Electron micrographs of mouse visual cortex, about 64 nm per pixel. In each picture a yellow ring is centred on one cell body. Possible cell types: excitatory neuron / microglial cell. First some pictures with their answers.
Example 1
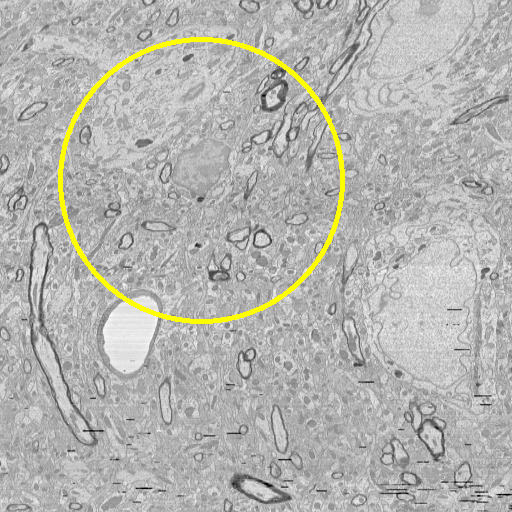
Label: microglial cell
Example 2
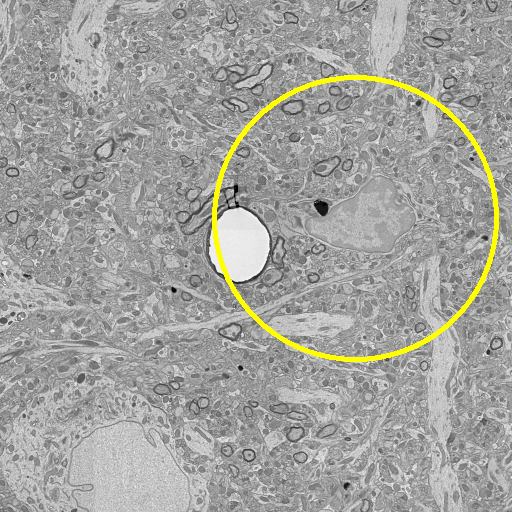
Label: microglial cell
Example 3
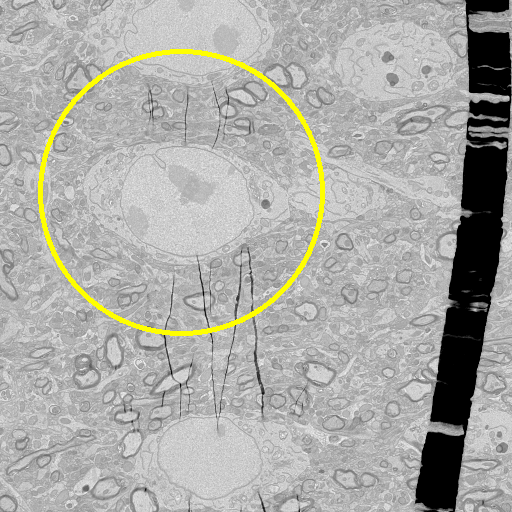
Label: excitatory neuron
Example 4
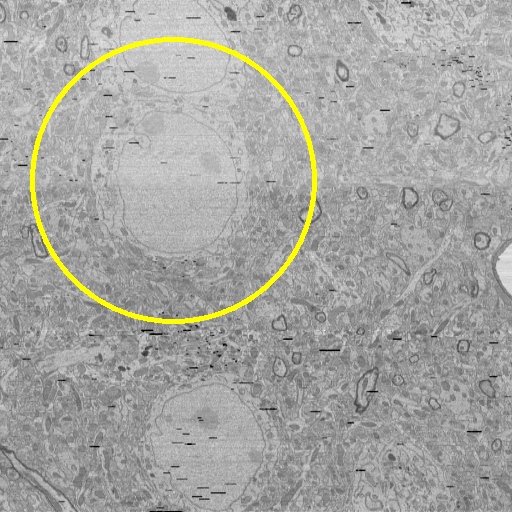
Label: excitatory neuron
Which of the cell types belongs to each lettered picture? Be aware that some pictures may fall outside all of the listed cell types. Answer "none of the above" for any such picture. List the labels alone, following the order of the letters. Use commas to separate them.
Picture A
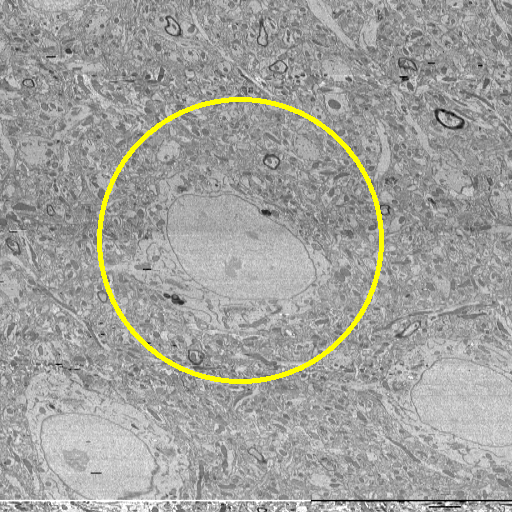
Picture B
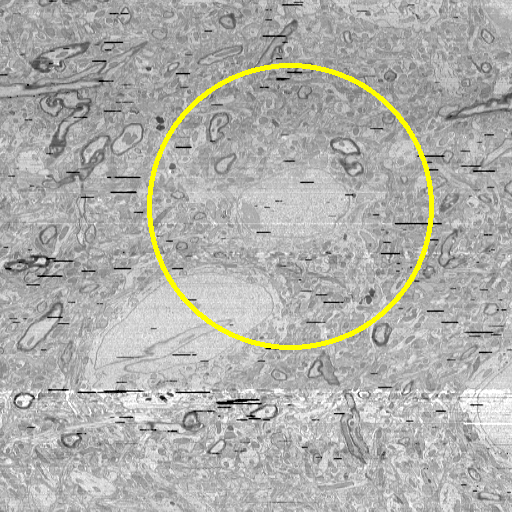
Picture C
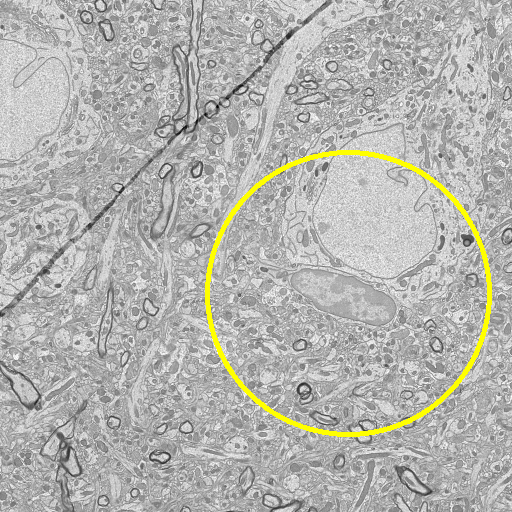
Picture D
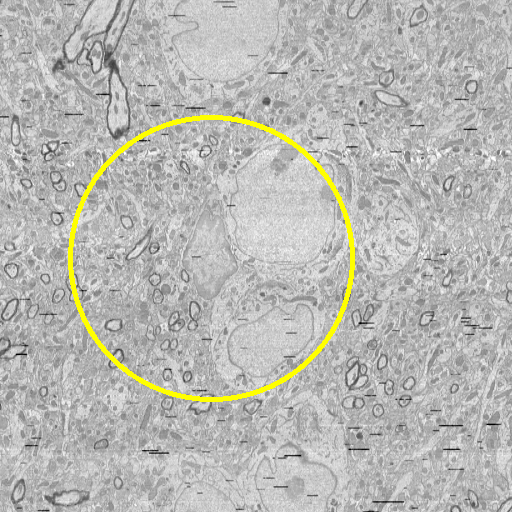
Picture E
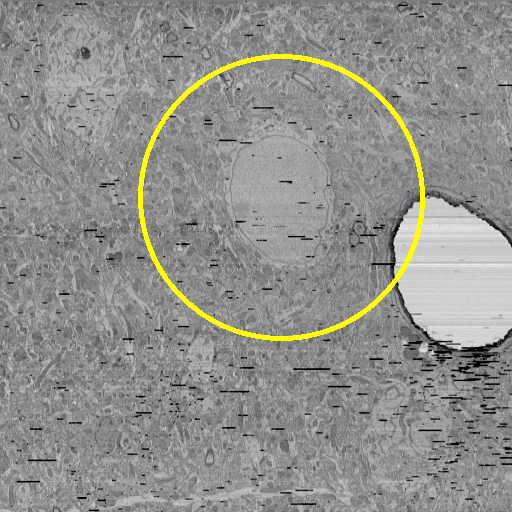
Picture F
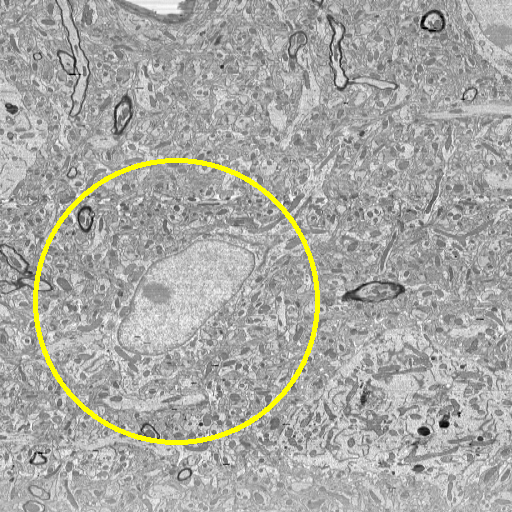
excitatory neuron, none of the above, microglial cell, microglial cell, excitatory neuron, none of the above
